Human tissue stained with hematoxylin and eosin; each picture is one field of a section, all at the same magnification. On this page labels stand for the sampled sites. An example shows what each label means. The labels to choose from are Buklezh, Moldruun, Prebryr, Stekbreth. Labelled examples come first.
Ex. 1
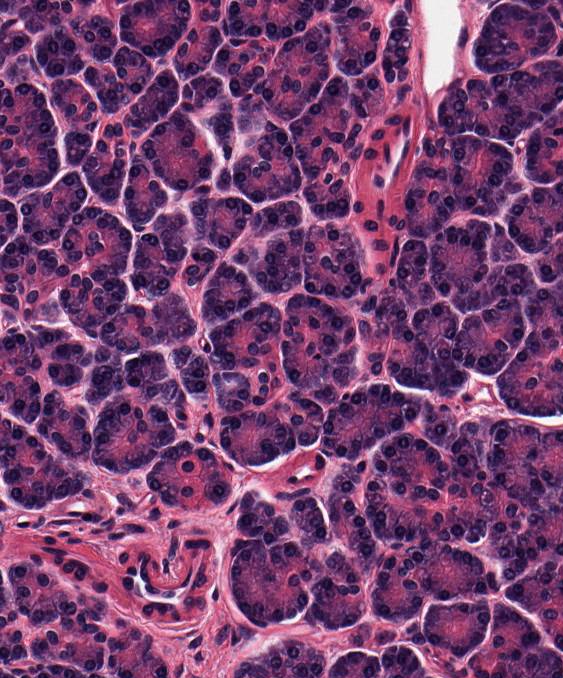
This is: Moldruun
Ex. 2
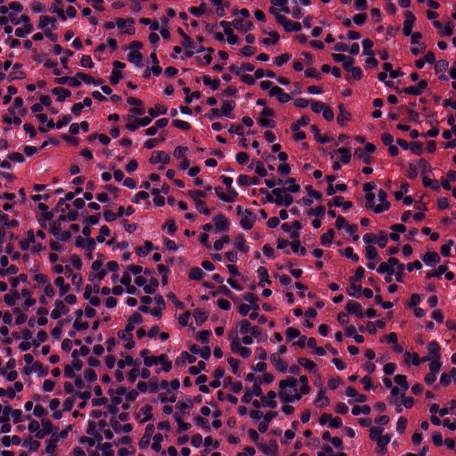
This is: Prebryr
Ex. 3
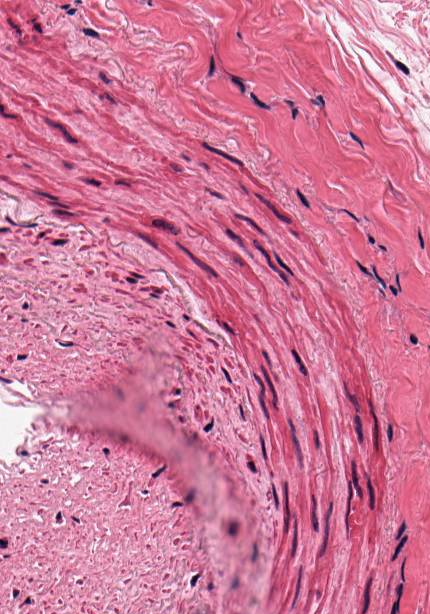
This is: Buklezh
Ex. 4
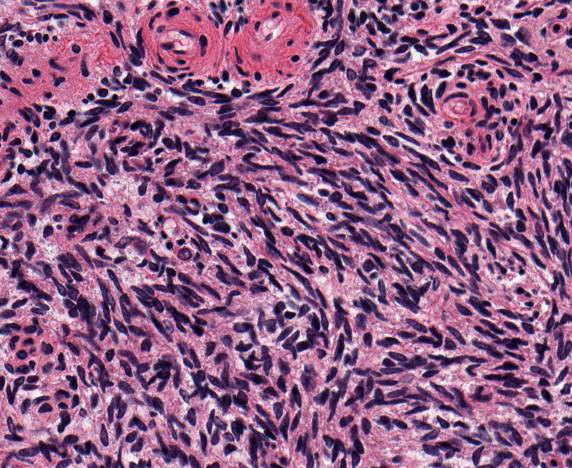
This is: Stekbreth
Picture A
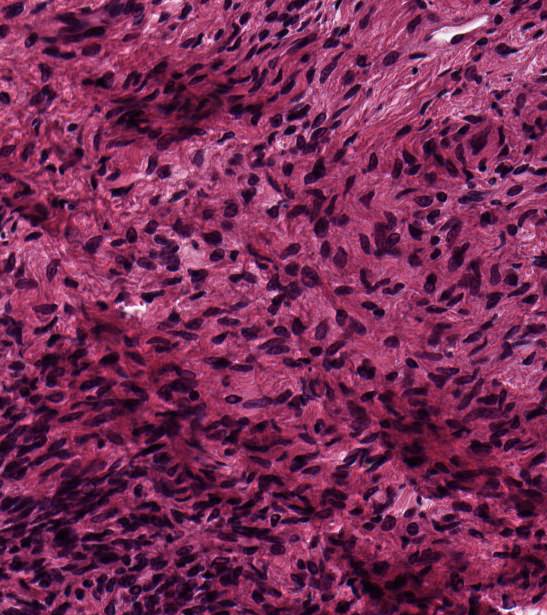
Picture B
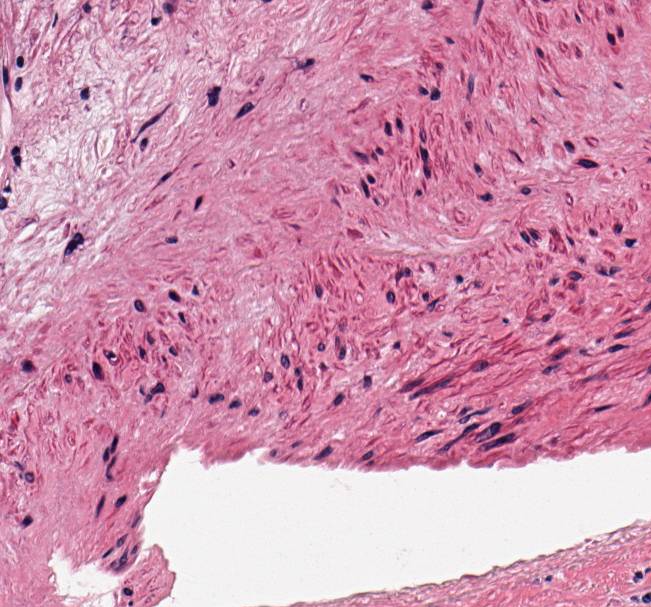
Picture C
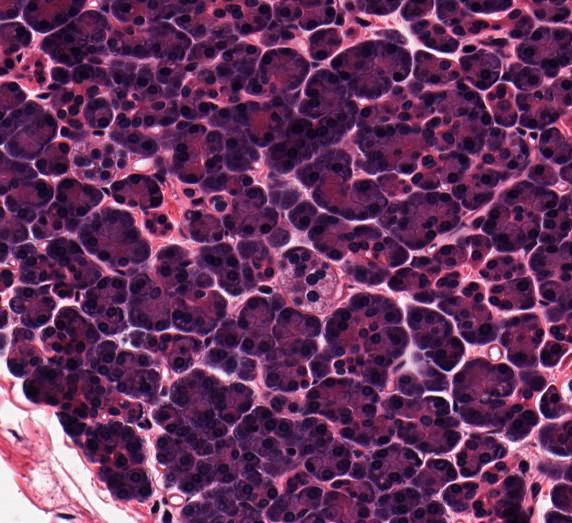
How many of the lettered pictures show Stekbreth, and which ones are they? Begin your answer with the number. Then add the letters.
1, namely A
